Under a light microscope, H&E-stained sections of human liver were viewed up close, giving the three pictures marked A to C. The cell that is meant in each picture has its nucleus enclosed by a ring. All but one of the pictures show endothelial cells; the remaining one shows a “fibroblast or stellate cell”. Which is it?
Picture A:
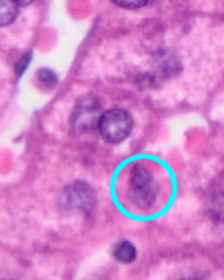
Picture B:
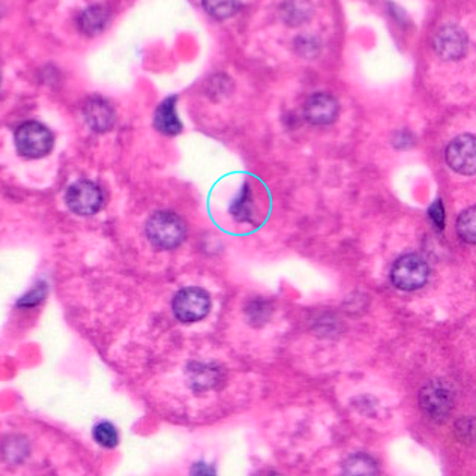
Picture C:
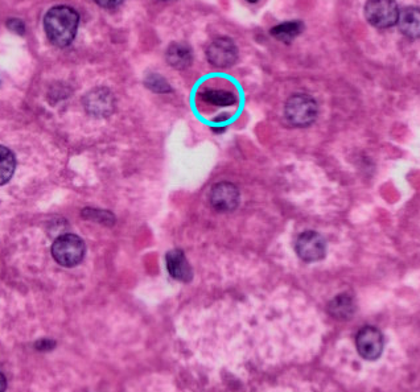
C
